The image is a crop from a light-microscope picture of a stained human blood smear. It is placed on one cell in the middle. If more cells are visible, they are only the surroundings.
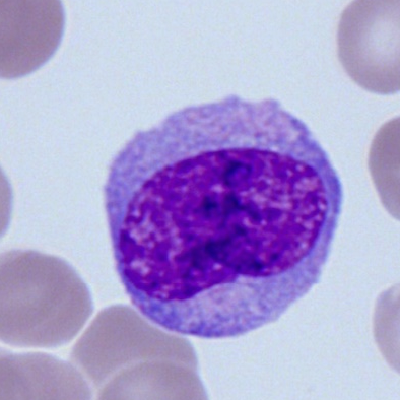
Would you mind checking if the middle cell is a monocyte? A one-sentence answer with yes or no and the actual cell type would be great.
Yes, the middle cell here is a monocyte.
